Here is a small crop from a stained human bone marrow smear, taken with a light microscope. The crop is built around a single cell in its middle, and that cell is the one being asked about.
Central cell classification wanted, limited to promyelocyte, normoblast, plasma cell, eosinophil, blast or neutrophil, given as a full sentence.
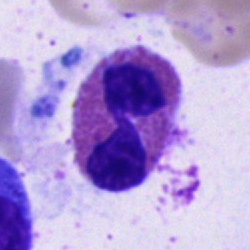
The cell occupying the middle of the crop is an eosinophil.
